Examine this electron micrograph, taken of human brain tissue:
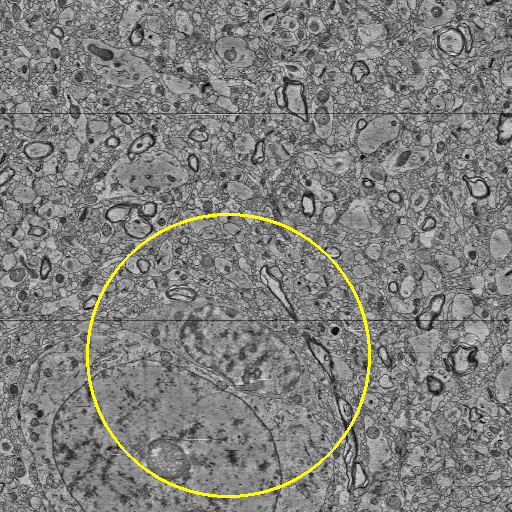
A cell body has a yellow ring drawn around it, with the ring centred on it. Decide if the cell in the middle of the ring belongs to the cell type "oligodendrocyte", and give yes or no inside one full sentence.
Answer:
Yes, the cell at the centre of the yellow ring in this picture is of that type.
